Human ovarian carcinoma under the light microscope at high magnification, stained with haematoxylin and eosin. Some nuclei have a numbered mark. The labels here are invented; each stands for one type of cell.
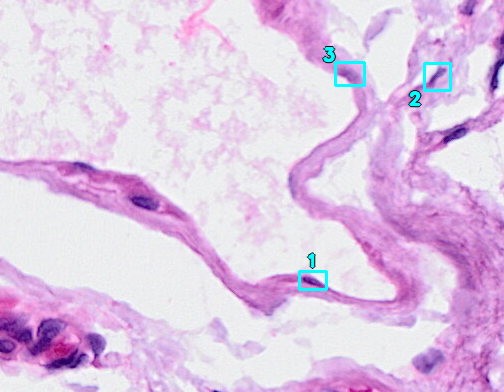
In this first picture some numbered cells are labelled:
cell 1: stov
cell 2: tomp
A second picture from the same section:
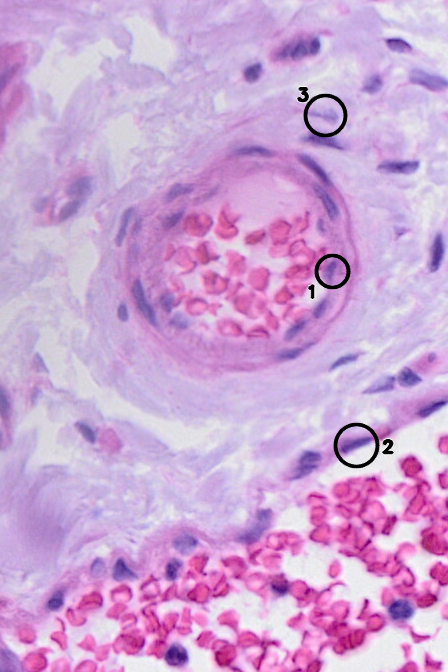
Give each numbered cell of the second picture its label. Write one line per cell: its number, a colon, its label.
1: stov
2: stov
3: tomp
